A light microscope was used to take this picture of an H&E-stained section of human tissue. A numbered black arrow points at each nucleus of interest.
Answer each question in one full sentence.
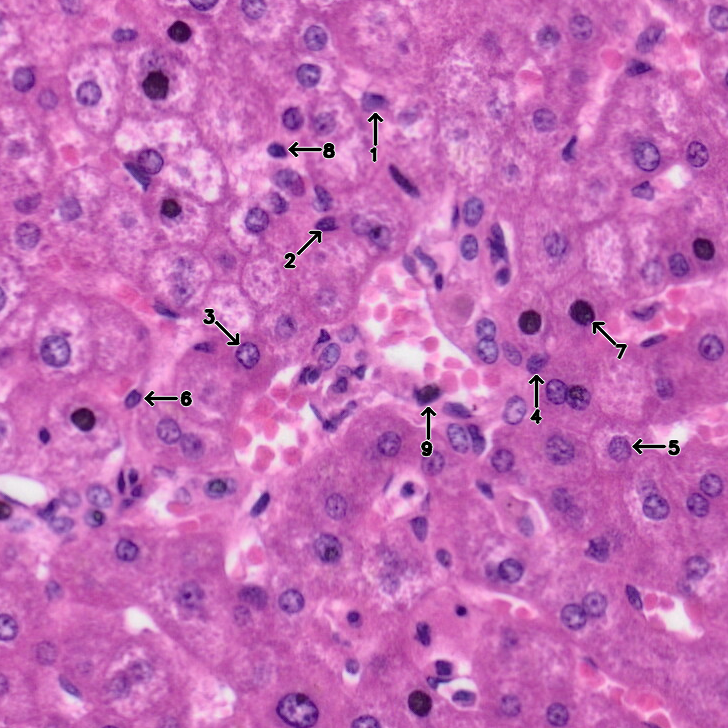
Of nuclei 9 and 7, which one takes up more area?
Nucleus 7 covers more area, about 1.5 times as much as nucleus 9.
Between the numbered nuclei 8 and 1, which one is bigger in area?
Of the two, number 1 is bigger and takes up about 1.5 times the area of number 8.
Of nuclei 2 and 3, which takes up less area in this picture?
Nucleus 2 covers less area, with nucleus 3 about 1.5 times as large.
